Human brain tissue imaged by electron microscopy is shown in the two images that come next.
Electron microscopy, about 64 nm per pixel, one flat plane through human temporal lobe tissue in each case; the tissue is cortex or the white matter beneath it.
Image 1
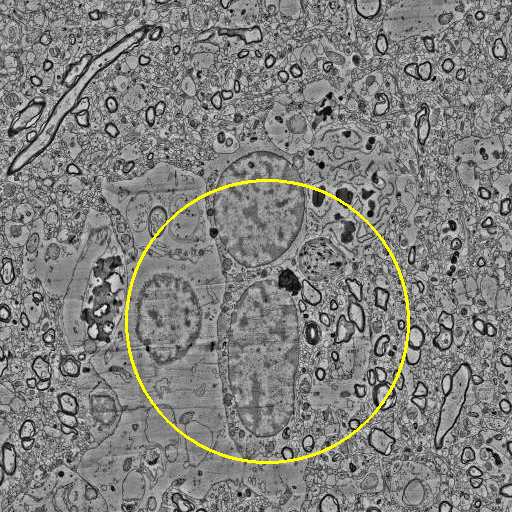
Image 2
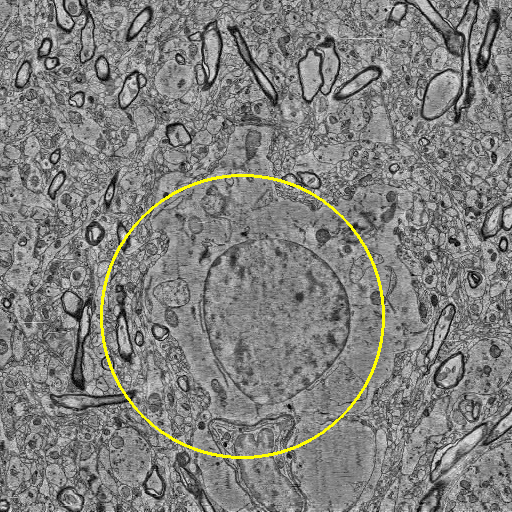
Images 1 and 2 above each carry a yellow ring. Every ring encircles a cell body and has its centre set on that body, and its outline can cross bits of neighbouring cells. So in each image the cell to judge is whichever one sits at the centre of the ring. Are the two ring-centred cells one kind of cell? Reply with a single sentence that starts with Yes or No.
No, in Image 1 and Image 2 the cells at the centres of their rings fall into two types.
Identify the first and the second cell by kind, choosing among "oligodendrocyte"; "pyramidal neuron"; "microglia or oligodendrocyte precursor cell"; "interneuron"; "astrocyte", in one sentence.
The one in the first picture is an oligodendrocyte, while the one in the second is an astrocyte.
